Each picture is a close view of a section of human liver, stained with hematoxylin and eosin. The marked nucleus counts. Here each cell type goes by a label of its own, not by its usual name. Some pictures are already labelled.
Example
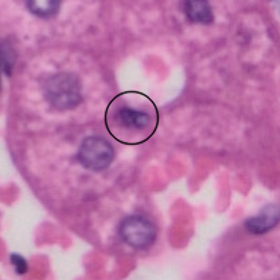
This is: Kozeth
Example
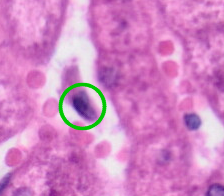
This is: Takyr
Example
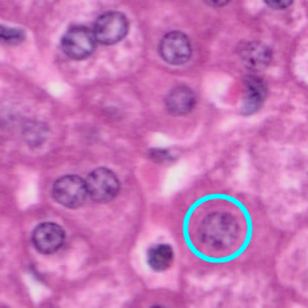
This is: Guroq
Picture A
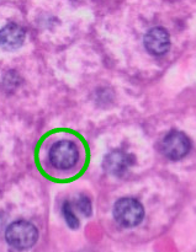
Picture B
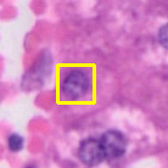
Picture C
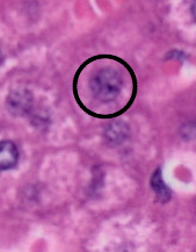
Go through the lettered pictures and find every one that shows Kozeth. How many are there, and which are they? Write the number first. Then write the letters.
0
